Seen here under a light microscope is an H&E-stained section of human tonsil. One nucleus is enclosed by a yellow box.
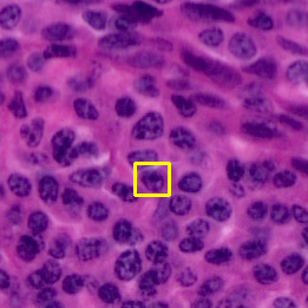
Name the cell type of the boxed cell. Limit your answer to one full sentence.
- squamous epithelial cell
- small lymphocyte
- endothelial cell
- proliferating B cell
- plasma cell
What the boxed cell represents is a plasma cell.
